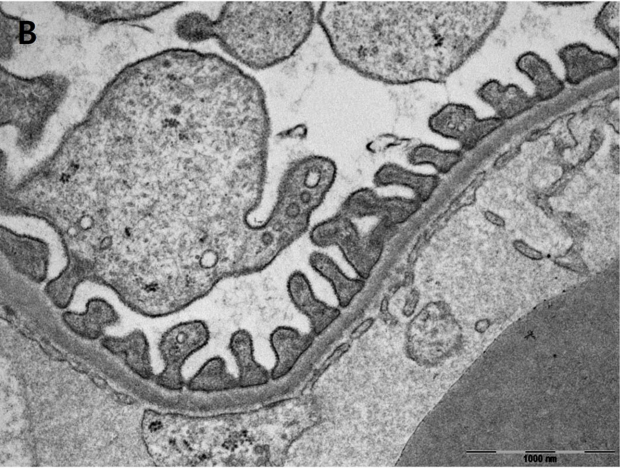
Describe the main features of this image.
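Transmission electron micrograph of a glomerular capillary wall. A curved dense basement membrane is covered on its urinary side by a row of dark, regularly spaced foot-like processes arising from a large rounded cell body with vesicles in its cytoplasm. On the opposite side a thin endothelial layer borders a capillary lumen containing a red blood cell.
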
